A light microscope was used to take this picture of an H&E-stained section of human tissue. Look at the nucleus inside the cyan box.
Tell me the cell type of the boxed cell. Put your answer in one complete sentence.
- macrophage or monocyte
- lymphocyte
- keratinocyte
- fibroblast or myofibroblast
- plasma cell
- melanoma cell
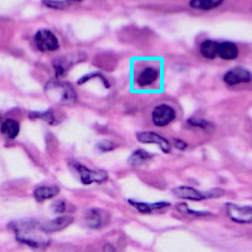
At the level of cell identity, the boxed cell is a plasma cell.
